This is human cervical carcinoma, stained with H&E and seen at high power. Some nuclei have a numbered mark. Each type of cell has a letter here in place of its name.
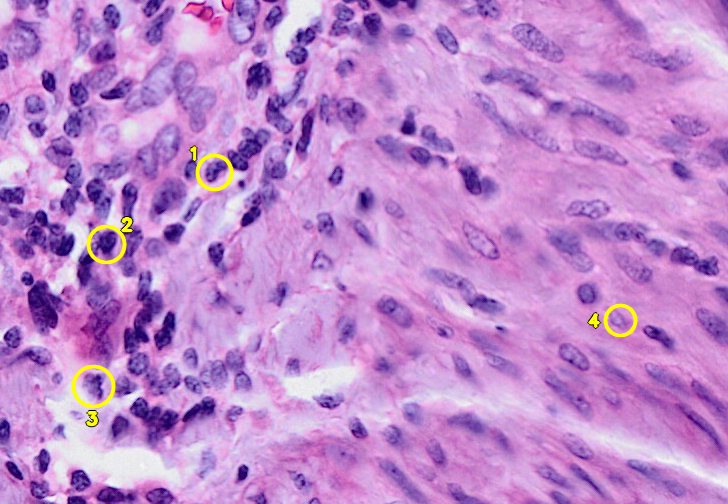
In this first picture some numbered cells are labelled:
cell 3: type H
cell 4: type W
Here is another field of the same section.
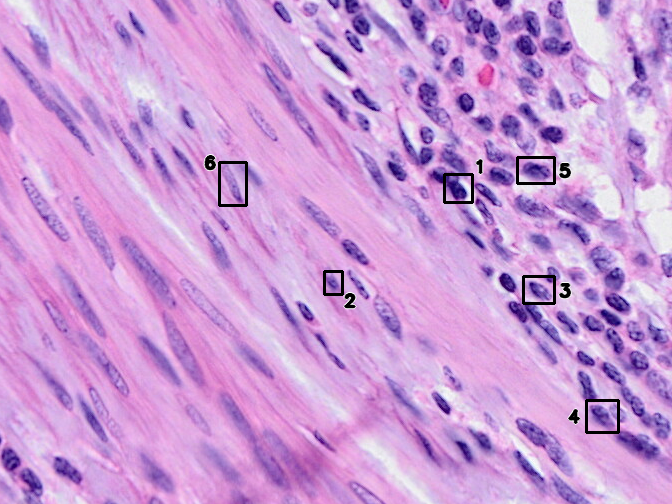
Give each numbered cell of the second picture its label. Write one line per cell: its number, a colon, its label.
1: type H
2: type W
3: type H
4: type H
5: type H
6: type W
